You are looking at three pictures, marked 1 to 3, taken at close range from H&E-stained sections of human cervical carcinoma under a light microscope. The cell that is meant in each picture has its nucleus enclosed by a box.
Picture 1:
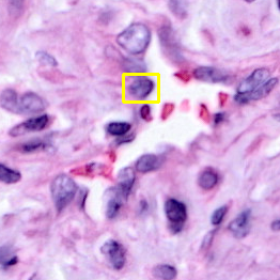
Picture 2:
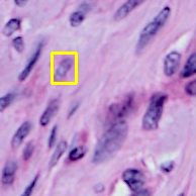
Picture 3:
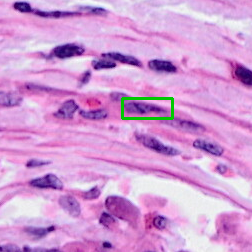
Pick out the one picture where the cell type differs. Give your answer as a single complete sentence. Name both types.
Picture 2 differs, because its cell is a smooth muscle cell and the rest are endothelial cells.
